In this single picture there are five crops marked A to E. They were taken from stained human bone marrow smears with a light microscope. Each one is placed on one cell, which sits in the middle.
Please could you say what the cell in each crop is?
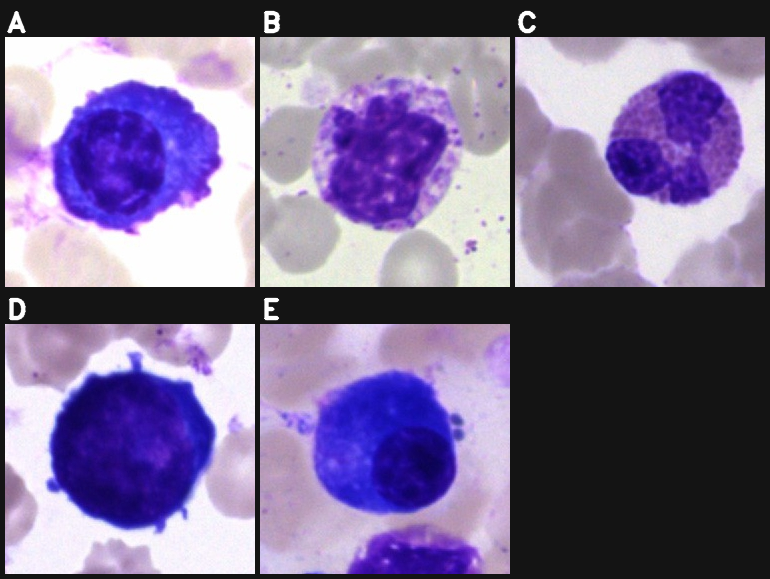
A: plasma cell
B: basophil
C: eosinophil
D: proerythroblast
E: plasma cell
